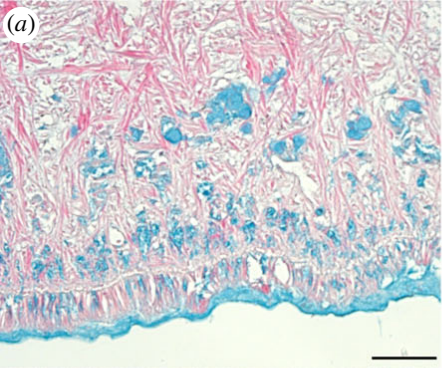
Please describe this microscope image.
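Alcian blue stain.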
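Along the lower edge runs a layer of tall columnar epithelial cells, coated on its free surface by a thin blue layer. Just beneath the epithelium, blue-stained glands crowd together in small rounded clusters, and further in they become larger and sparser. Between and above them, pink fibres run criss-crossing through the tissue.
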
